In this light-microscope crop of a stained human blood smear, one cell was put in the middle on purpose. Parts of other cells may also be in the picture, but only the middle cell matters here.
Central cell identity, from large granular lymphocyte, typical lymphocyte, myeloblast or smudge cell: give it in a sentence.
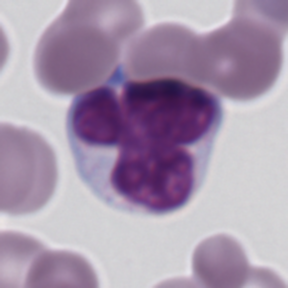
In the centre of this crop there is a large granular lymphocyte.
